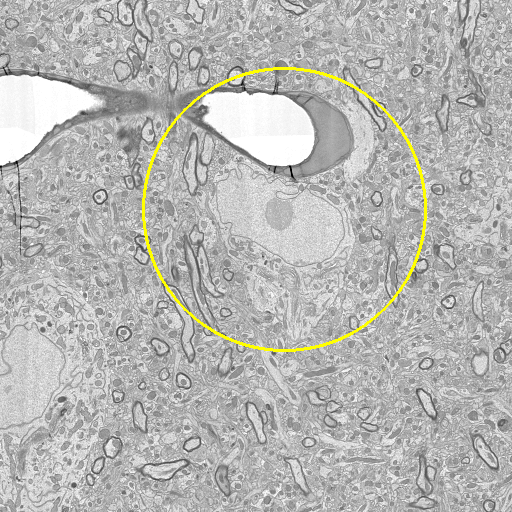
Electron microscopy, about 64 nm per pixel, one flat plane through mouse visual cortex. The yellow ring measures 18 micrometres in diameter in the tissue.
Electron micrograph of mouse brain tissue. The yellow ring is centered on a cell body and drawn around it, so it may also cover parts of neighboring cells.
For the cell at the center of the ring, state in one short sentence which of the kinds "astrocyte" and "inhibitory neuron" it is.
This ring is centered on an inhibitory neuron.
